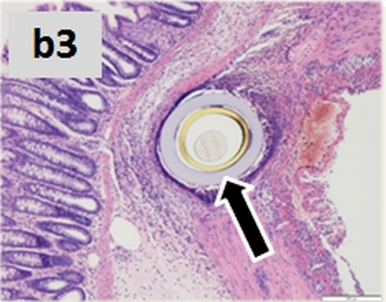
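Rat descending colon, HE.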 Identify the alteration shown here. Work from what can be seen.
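Submucosal granuloma. A dense rim of purple-nucleated cells surrounds a round foreign body. The lesion lies beneath the crypt-bearing mucosa.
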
